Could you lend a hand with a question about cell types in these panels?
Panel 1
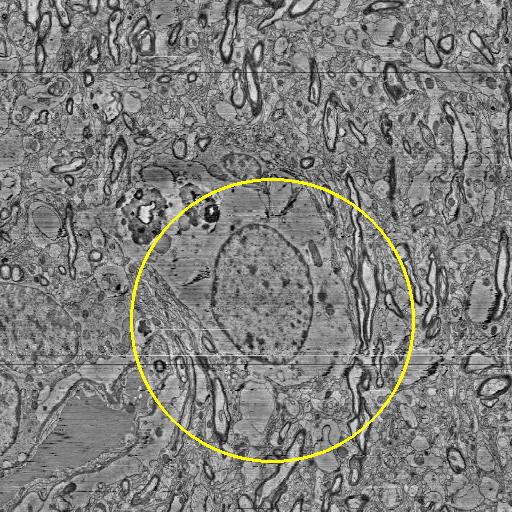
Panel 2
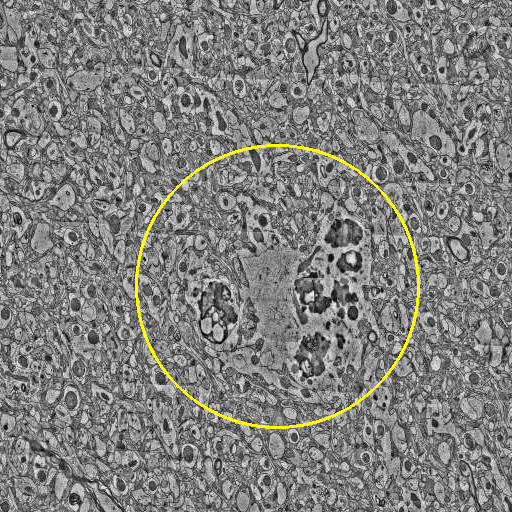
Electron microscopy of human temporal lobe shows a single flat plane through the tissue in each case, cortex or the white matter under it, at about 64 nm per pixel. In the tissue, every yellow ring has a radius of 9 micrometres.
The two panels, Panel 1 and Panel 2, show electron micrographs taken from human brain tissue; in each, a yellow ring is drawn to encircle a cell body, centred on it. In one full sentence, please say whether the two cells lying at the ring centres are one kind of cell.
Yes, the cells at the ring centres in the two panels are one kind of cell.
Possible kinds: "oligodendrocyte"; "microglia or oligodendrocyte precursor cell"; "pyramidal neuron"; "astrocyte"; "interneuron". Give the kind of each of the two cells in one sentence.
Both the first and the second picture show an astrocyte in the ring.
